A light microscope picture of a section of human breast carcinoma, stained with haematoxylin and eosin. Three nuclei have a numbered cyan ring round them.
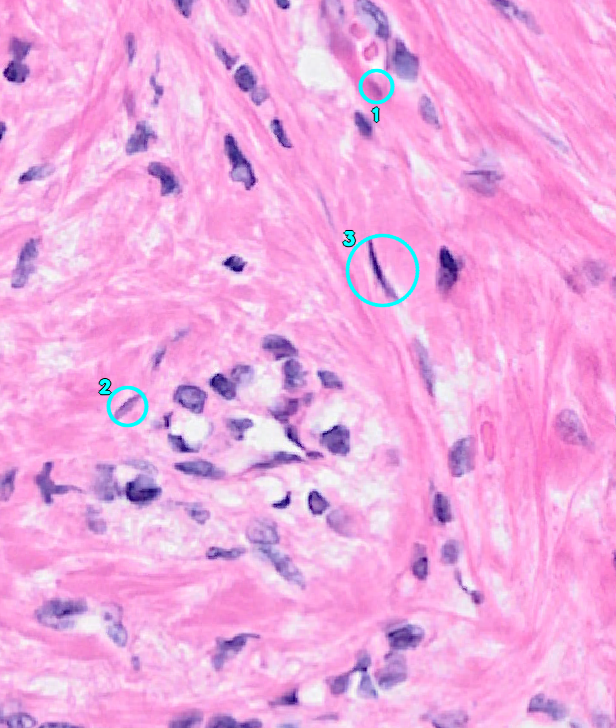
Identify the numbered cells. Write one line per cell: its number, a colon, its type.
1: endothelial cell
2: fibroblast
3: fibroblast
